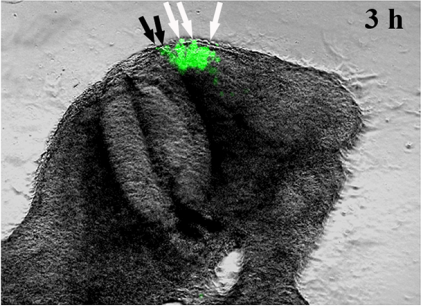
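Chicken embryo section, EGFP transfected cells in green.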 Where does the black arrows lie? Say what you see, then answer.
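The black arrows point at the dorsal edge of the section, just beneath the thin surface layer. The arrowed spot lies above the elongated central structure of the section. That points to this answer: subectodermal space above the neural tube.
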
